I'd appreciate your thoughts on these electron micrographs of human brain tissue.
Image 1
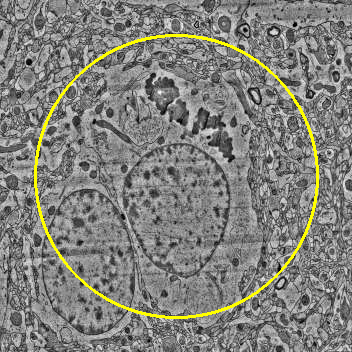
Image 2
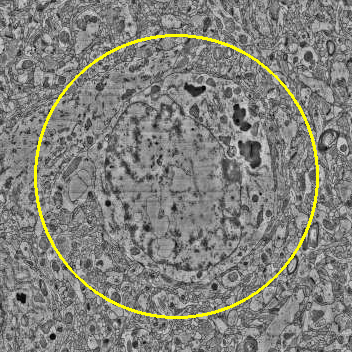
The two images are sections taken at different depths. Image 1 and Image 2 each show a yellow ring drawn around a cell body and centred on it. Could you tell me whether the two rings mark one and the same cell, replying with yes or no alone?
no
